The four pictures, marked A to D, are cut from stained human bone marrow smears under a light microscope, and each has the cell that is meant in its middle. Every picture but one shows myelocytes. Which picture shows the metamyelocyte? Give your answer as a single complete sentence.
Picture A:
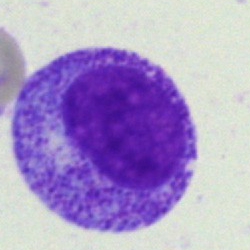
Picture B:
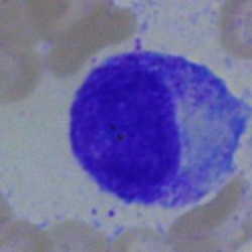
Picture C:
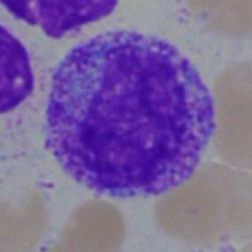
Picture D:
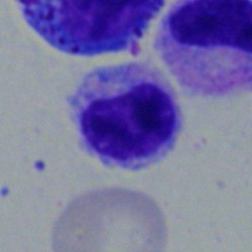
The cell in picture D is the metamyelocyte.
